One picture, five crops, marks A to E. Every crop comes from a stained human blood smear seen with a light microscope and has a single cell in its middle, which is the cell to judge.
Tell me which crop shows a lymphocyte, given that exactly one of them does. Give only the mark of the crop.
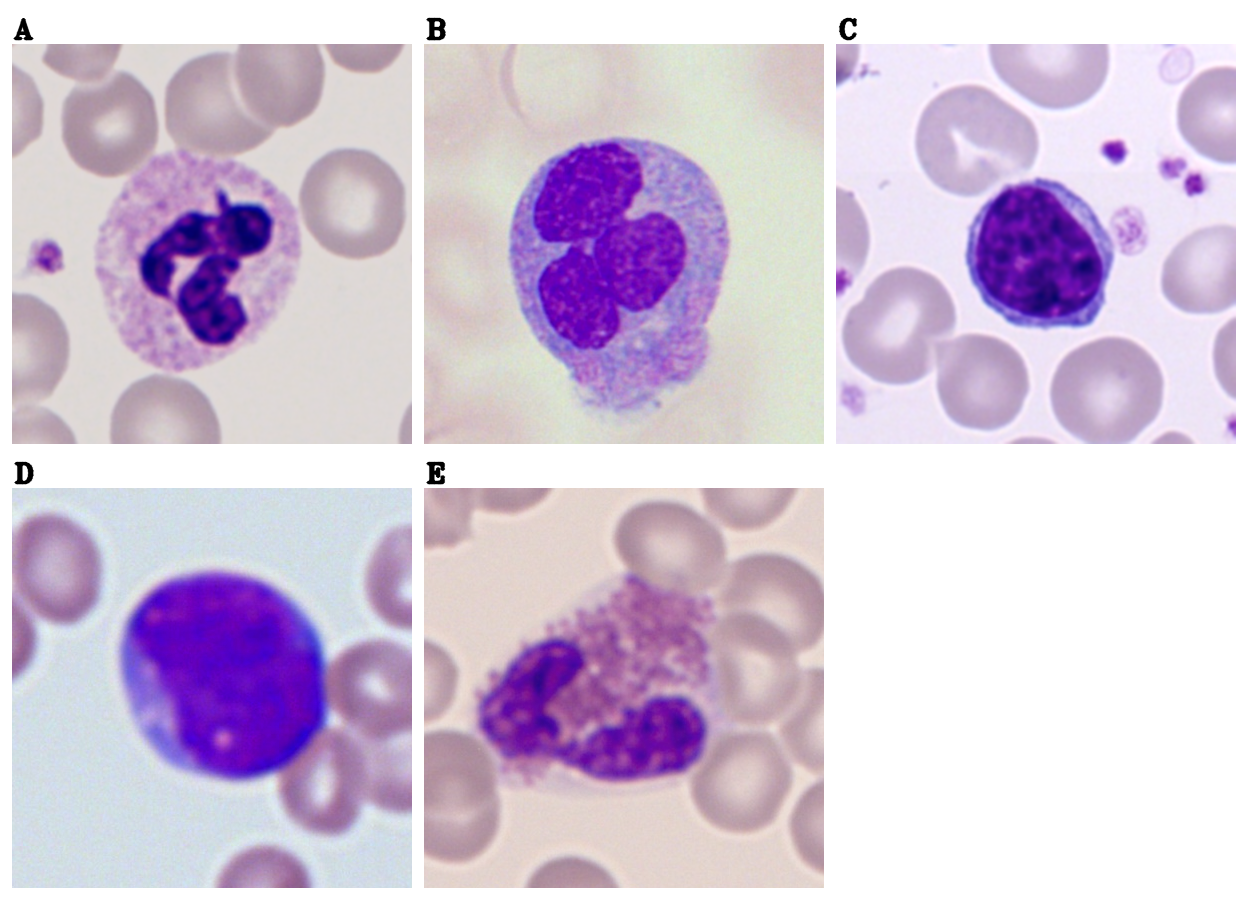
C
